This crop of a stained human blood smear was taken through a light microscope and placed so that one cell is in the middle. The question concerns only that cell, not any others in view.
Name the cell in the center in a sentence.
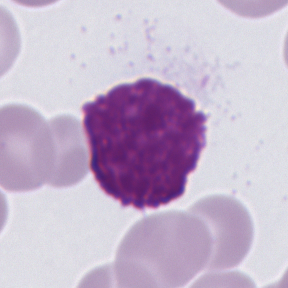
The cell that lies at the centre of the crop is a smudge cell.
